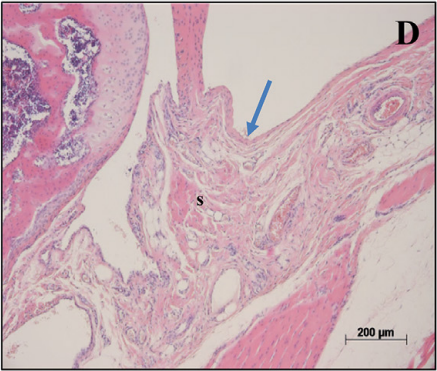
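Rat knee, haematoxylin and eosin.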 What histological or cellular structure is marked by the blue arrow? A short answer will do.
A: Synovial lining layer.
